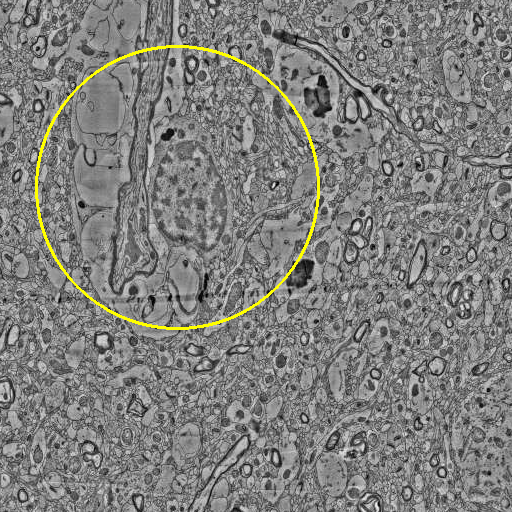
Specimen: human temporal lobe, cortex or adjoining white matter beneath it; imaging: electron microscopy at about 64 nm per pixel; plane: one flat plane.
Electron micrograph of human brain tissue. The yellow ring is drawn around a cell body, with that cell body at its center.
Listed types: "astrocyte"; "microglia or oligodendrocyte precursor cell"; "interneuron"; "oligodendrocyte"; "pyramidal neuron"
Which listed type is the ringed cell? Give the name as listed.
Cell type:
oligodendrocyte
